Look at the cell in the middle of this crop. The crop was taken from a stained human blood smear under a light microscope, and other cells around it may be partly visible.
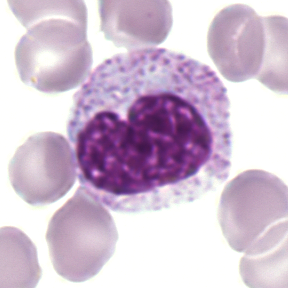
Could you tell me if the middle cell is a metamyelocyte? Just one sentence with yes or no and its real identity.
No, the central cell is a band neutrophil, not a metamyelocyte.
